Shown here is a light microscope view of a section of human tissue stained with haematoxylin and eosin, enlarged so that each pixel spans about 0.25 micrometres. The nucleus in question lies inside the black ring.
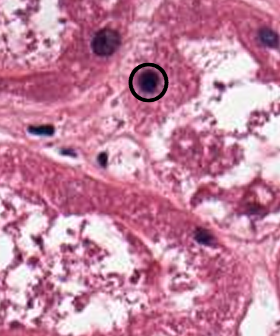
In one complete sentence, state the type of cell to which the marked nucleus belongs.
In this picture it is a proximal tubule cell whose nucleus is marked.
